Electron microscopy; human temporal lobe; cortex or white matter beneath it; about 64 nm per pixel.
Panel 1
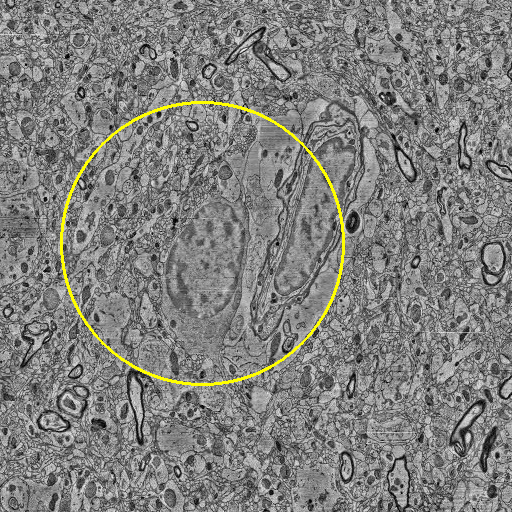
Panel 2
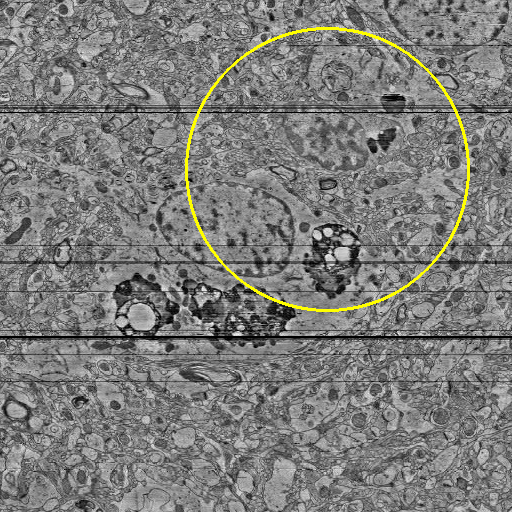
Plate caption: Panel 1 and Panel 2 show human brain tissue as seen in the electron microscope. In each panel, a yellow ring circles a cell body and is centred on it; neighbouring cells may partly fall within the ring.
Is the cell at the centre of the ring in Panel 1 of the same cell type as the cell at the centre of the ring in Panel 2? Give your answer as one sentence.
Yes, the two cells are of the same type.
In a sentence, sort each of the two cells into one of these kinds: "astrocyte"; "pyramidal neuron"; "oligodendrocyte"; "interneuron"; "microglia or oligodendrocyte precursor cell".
The first and the second cell are each an oligodendrocyte.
